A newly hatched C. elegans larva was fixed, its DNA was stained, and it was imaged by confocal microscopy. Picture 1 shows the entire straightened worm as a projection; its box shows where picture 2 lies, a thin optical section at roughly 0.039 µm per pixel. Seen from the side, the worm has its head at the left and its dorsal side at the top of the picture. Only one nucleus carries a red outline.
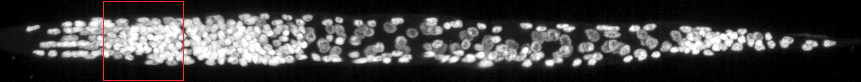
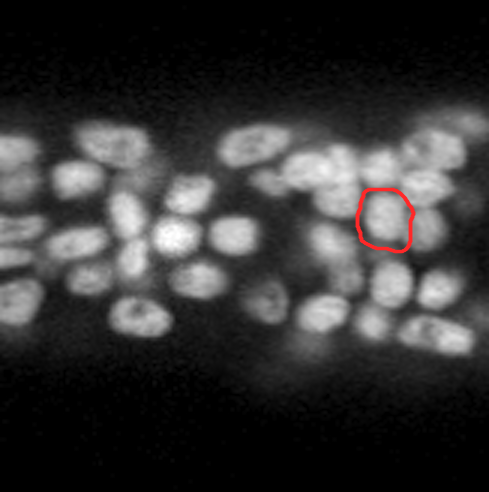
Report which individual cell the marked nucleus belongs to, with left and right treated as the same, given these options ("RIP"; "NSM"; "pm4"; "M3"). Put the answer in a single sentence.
This is the nucleus of RIP, a neuron.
